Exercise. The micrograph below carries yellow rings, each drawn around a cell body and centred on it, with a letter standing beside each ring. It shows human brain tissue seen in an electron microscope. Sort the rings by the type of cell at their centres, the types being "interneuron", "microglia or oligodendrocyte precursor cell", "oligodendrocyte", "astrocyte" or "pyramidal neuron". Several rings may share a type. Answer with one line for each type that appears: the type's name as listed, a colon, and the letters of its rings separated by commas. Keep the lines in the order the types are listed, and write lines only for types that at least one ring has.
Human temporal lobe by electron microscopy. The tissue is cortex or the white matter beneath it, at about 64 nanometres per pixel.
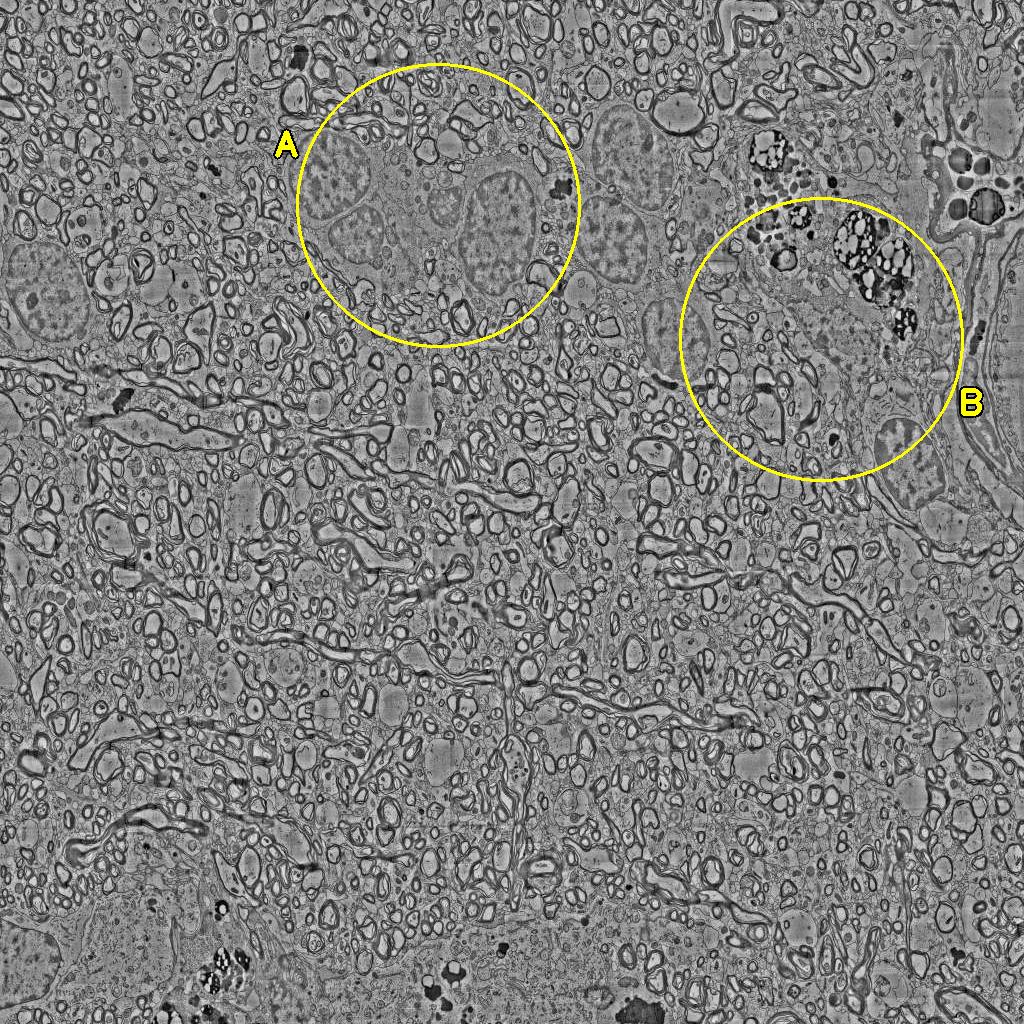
oligodendrocyte: A
astrocyte: B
